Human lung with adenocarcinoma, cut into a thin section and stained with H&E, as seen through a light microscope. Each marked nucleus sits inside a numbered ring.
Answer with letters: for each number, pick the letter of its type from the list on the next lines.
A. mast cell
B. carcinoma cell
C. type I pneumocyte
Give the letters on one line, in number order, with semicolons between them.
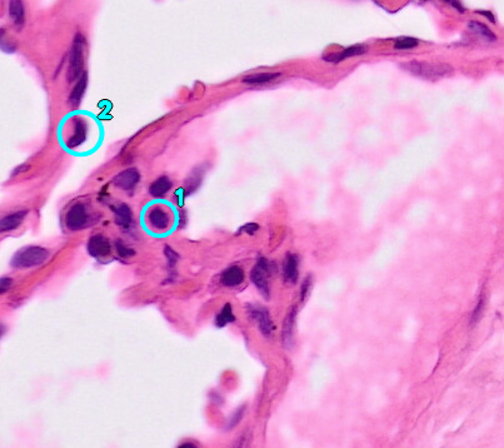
A; C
